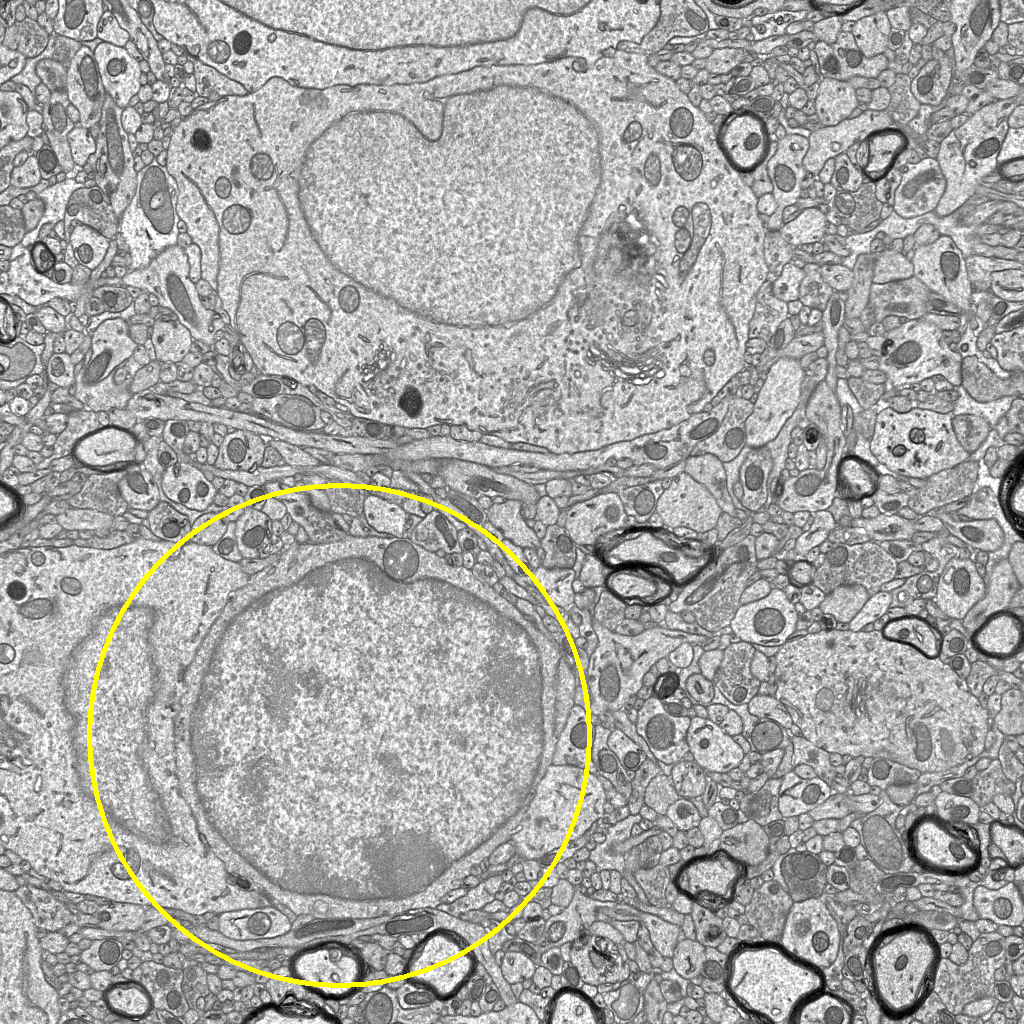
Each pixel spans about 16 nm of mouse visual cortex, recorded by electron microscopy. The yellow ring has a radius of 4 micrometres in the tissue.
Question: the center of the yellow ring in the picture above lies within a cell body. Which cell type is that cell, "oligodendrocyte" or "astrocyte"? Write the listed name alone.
oligodendrocyte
